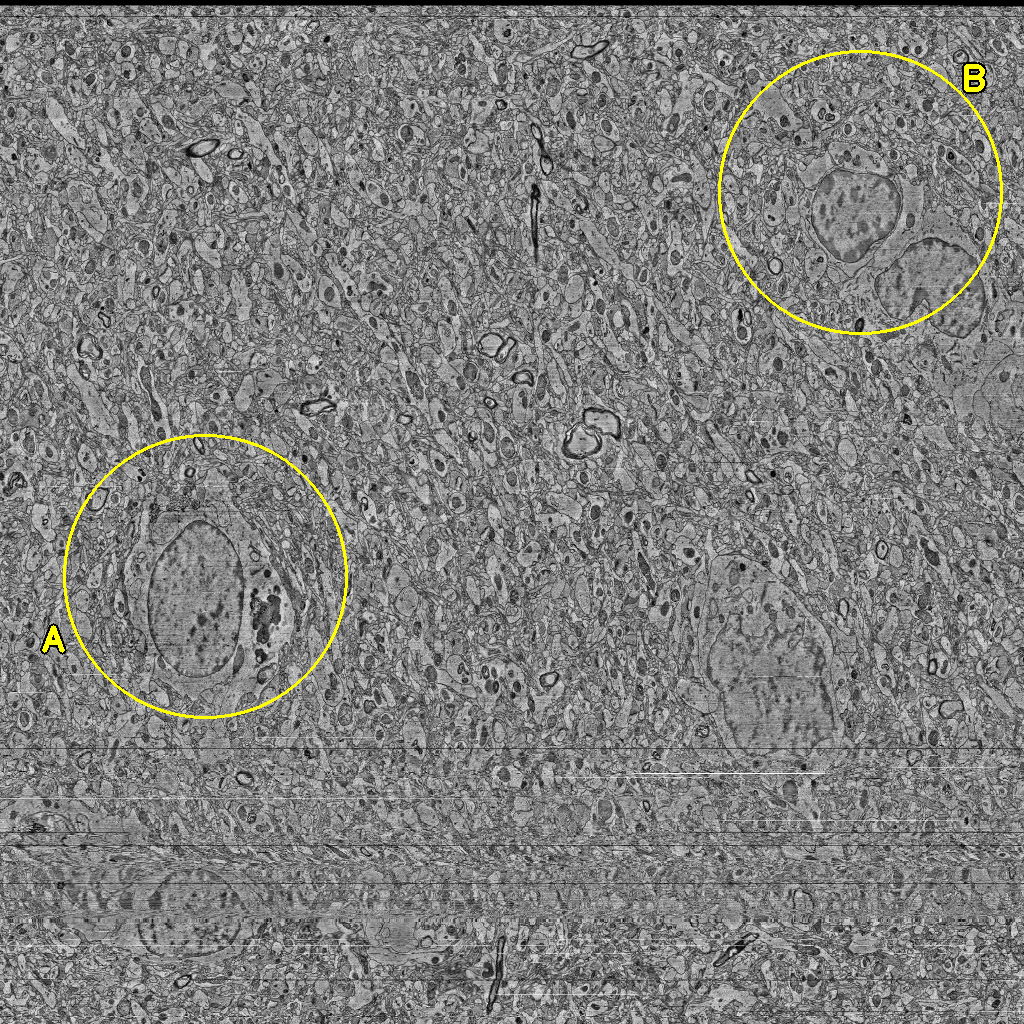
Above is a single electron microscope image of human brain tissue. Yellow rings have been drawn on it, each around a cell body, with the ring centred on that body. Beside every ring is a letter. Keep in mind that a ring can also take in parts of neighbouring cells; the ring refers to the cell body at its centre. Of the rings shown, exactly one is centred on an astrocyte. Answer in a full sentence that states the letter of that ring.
The cell at the centre of ring A is the one asked for.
